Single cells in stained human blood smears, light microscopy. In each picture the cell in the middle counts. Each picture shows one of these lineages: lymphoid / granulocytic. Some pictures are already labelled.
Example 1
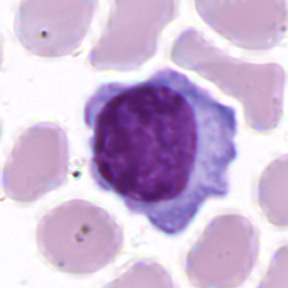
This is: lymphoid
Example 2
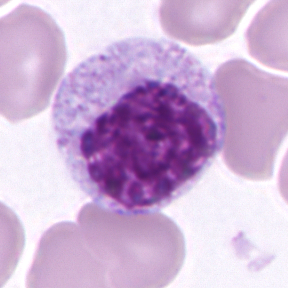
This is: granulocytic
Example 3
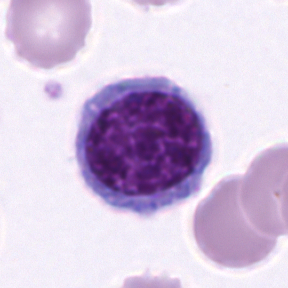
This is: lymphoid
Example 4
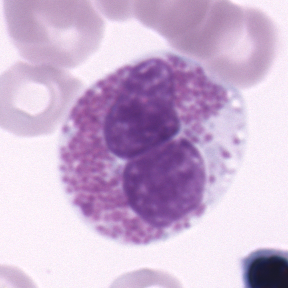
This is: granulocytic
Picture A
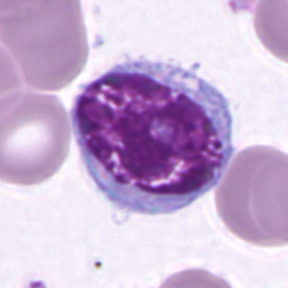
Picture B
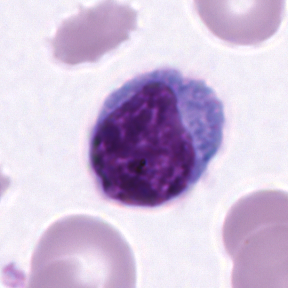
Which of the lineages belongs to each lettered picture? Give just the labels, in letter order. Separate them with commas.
lymphoid, lymphoid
